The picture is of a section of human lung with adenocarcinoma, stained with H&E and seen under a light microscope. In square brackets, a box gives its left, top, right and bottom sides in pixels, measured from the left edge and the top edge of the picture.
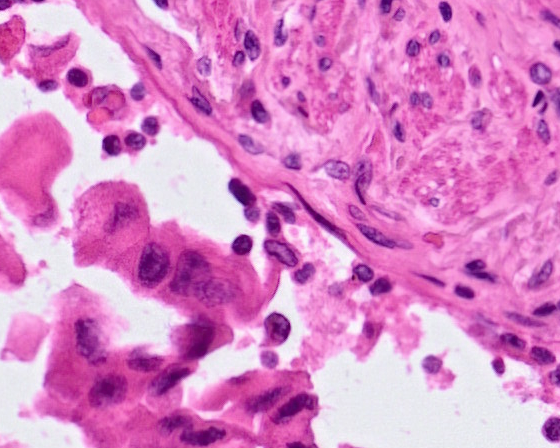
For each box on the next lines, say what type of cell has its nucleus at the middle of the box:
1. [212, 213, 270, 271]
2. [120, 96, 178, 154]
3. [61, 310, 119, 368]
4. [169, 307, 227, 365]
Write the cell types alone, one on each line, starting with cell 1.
lymphocyte
lymphocyte
carcinoma cell
carcinoma cell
